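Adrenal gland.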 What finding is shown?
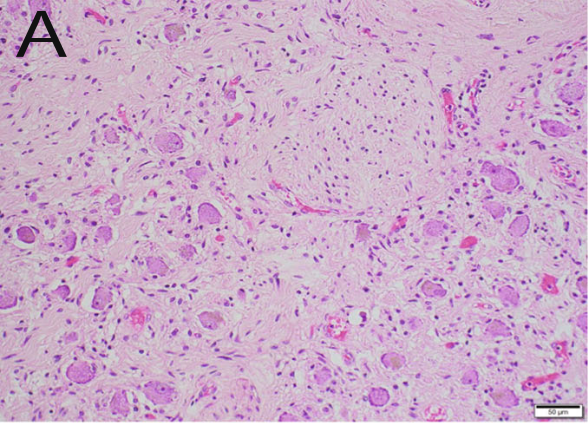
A: ganglioneuroma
